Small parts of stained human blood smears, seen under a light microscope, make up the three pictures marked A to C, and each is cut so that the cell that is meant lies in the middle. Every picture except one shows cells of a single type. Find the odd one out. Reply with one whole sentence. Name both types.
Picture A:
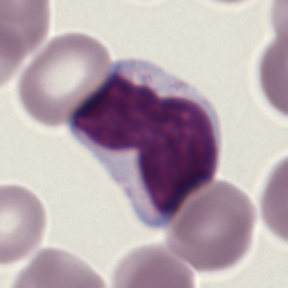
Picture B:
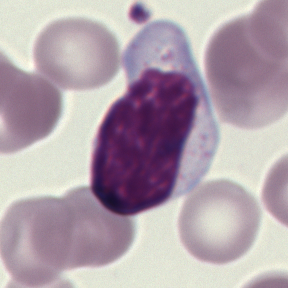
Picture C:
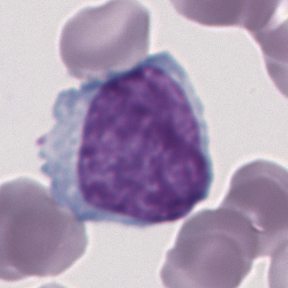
The different one is picture C; it shows a myeloblast, whereas all the others show large granular lymphocytes.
